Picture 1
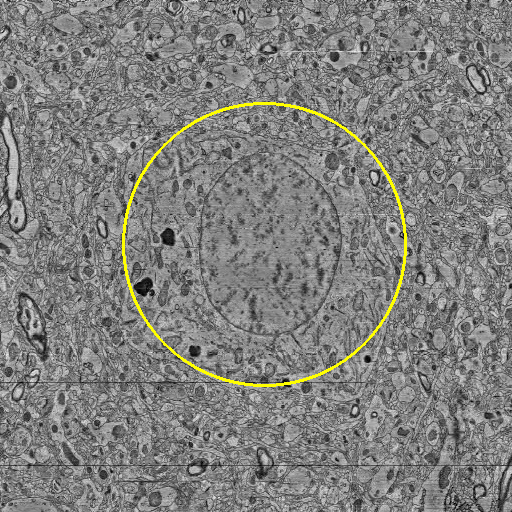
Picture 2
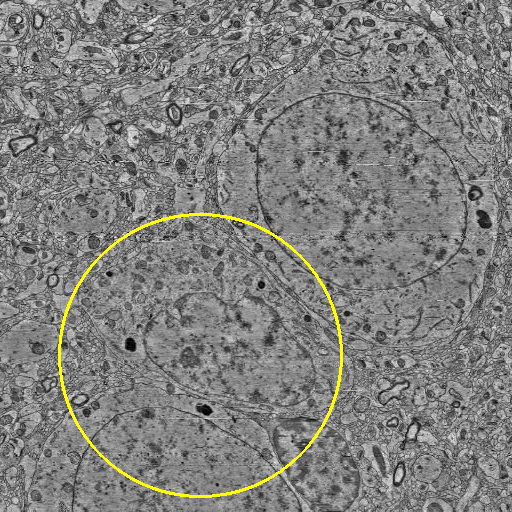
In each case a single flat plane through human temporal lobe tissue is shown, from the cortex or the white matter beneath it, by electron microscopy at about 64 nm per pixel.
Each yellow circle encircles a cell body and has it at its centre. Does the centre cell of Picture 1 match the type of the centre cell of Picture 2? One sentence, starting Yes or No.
Yes, the cell centred in Picture 1 and the one in Picture 2 share a type.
